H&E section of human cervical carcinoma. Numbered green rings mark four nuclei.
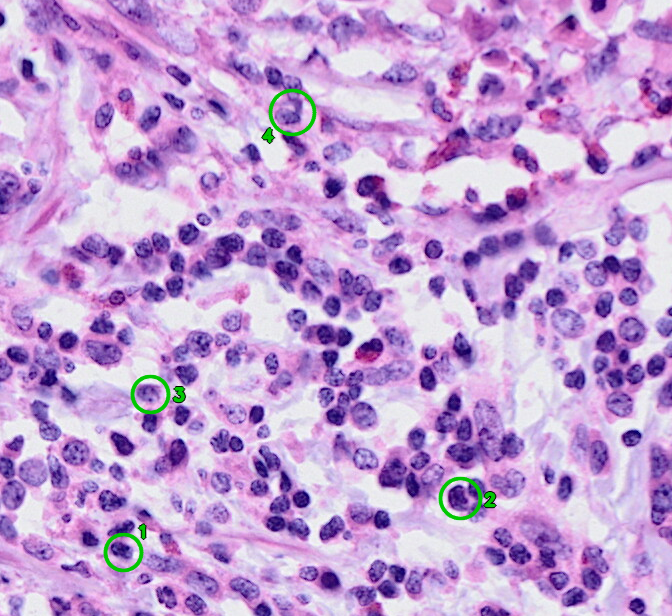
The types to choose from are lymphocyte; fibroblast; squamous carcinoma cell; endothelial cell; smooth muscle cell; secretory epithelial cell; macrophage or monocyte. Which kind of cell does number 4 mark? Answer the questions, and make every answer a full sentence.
The cell pointed out by number 4 is a macrophage or monocyte.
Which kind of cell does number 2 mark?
The cell with the number 2 is a lymphocyte.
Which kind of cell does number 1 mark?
The one numbered 1 among the marked cells is a lymphocyte.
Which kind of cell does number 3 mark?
The cell pointed out as number 3 is a lymphocyte.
